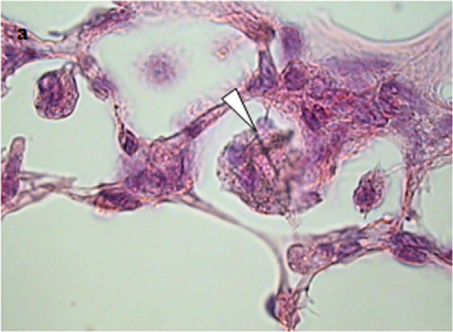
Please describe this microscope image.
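This is lung tissue showing thin pink alveolar walls around clear air spaces, with a large rounded cell lying in one space against a wall. The alveolar septa are delicate, lined by flattened cells with small dark purple nuclei, and scattered rounded cells sit along them. The large cell is much bigger than its neighbours, with a granular pink-purple cytoplasm and more than one dark nuclear mass. Several thin dark straight fibres run across its cytoplasm, consistent with a multinucleated giant cell that has taken up fibres.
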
